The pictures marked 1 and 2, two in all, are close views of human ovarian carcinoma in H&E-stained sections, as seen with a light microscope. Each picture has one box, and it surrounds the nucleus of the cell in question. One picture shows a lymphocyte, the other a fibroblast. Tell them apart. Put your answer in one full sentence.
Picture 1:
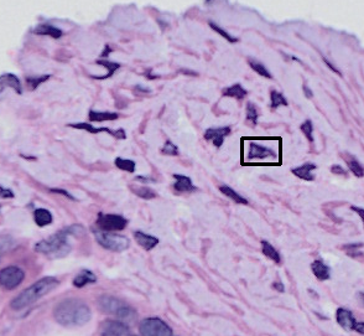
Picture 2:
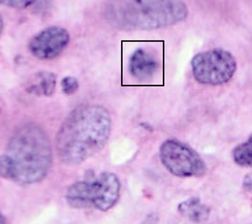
It is picture 1 that shows a fibroblast, and picture 2 that shows a lymphocyte.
